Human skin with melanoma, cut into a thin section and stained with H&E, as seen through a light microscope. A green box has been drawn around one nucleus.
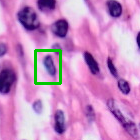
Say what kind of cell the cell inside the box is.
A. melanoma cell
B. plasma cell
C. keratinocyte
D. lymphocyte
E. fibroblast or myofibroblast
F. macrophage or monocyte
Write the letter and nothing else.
D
